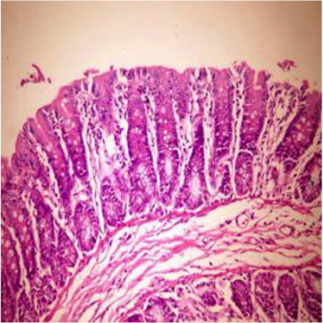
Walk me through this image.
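This is the lining of the colon, with its glandular mucosa on top and loose submucosa below. Long tubular crypts stand side by side like a palisade, running straight from the surface down to the base, each lined by purple-nucleated columnar cells with many pale goblet cells. Thin strands of lamina propria with scattered nuclei separate the crypts. Beneath, a band of pink, wavy connective tissue of the submucosa holds small vessels, and further crypts curve along the lower edge. The surface epithelium is continuous, and the overall arrangement is regular and orderly, as in healthy colonic mucosa.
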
